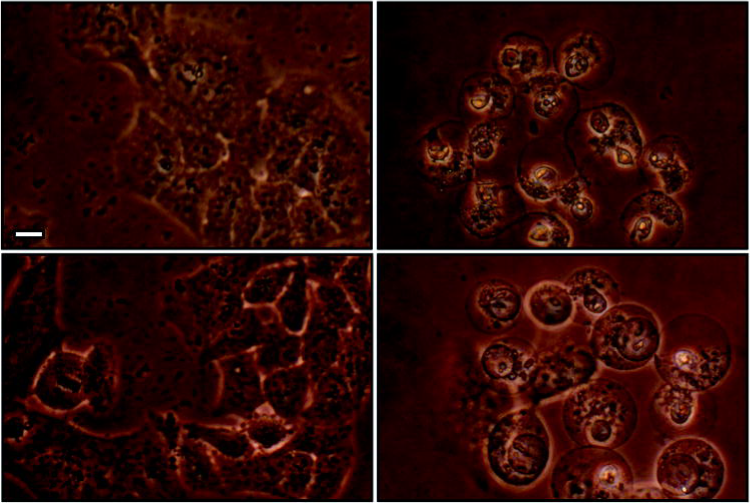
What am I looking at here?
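Cultured cells are seen by phase contrast in four fields. In the left-hand fields, the cells lie flat and close together as a continuous sheet of polygonal cells. Their borders show as bright lines, and their cytoplasm is finely granular. The cells in the lower left field look somewhat more clearly outlined. In the right-hand fields, the sheet is gone. The cells are rounded and separate, and their contents are coarsely granular and dark.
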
